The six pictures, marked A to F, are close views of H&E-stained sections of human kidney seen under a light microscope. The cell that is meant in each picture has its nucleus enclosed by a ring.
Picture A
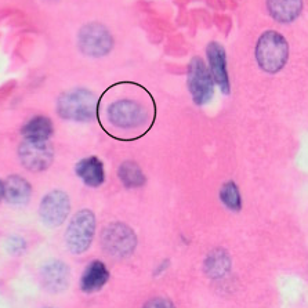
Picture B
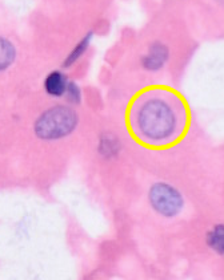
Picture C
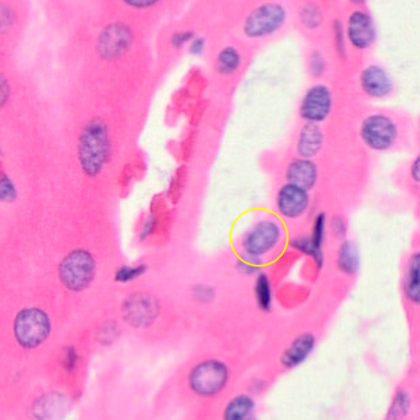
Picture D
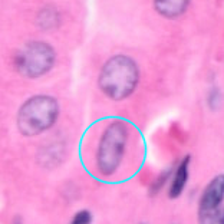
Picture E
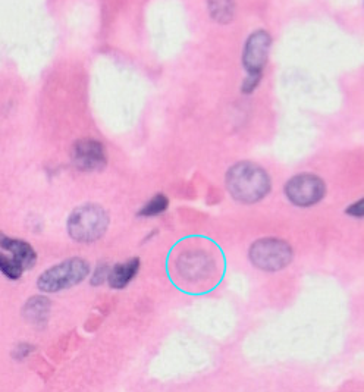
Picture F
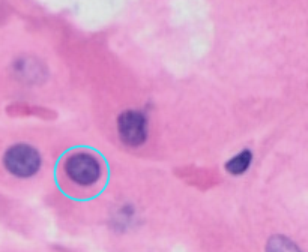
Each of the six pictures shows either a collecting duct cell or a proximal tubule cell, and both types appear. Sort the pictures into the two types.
A: collecting duct cell
B: proximal tubule cell
C: collecting duct cell
D: proximal tubule cell
E: proximal tubule cell
F: proximal tubule cell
